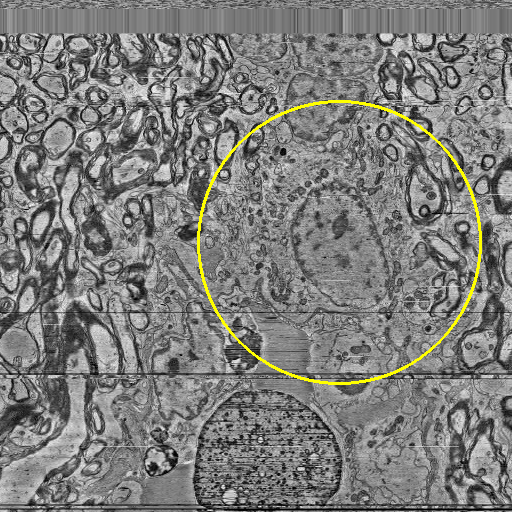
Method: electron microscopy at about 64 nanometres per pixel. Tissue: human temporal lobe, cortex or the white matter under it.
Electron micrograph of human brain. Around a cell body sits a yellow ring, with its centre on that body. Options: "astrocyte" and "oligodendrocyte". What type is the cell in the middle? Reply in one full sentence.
The cell sitting at the centre of the yellow ring is an astrocyte.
